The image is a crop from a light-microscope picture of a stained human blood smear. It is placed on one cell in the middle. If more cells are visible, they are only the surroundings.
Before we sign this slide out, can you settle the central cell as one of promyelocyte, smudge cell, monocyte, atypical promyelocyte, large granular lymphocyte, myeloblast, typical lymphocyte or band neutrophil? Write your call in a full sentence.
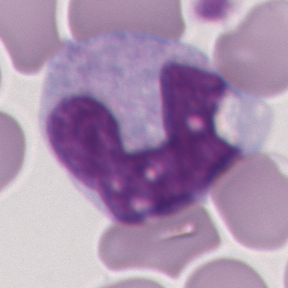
Classified as a monocyte is the cell in the middle of this crop.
